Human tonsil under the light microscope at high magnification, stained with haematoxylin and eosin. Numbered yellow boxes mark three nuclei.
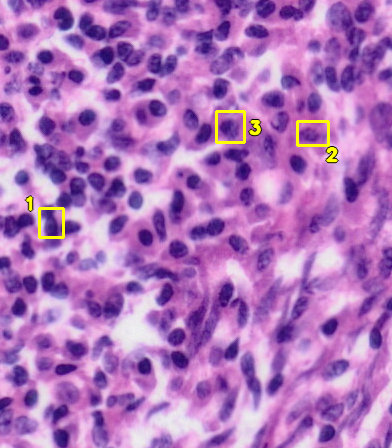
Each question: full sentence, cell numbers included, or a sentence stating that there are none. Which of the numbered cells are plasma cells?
The cells tagged with numbers 2 and 3 are plasma cells.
